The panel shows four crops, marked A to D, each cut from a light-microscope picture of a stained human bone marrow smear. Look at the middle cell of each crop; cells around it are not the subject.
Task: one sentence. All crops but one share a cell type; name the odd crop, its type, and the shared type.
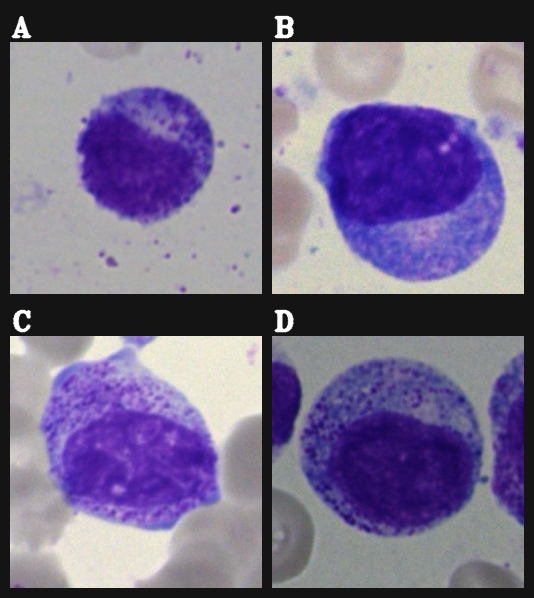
Crop C is the one to flag: it is a myelocyte, and the rest show promyelocytes.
